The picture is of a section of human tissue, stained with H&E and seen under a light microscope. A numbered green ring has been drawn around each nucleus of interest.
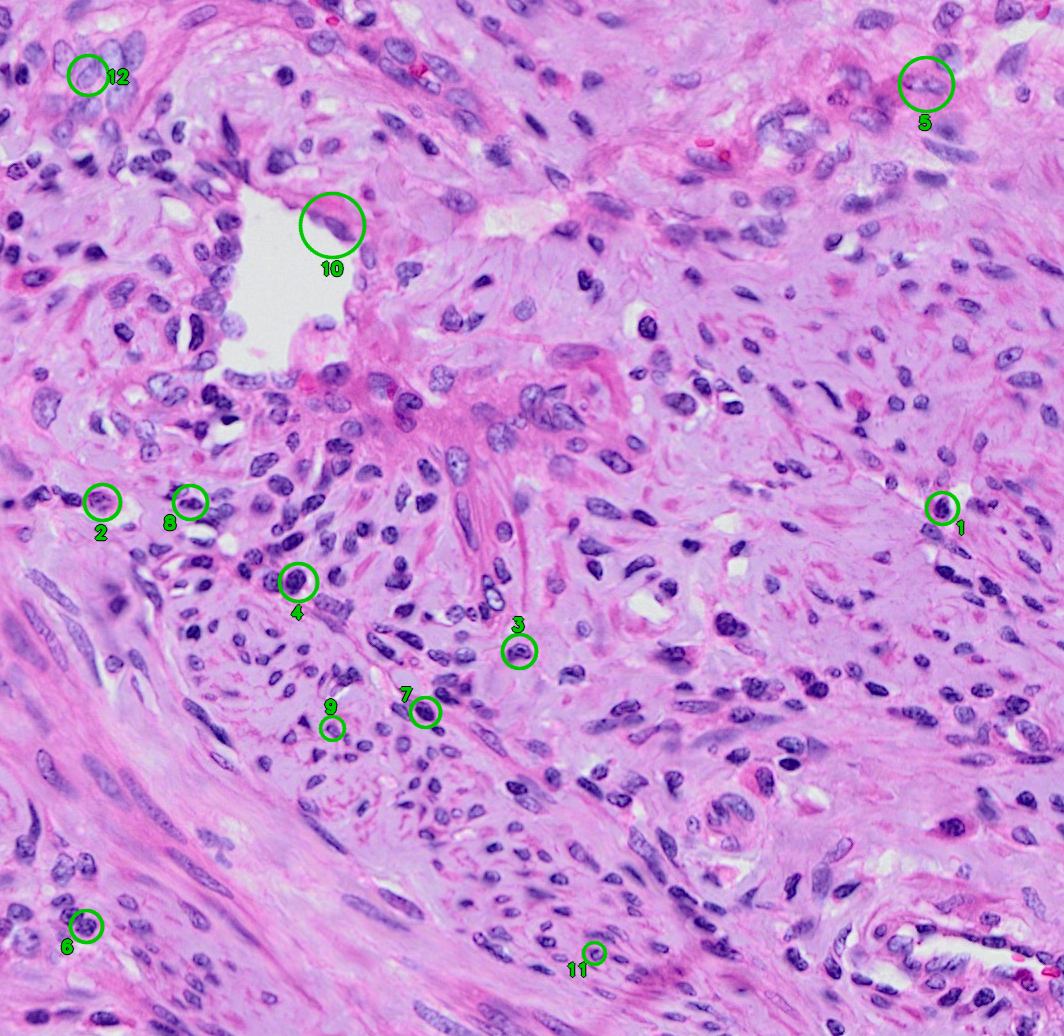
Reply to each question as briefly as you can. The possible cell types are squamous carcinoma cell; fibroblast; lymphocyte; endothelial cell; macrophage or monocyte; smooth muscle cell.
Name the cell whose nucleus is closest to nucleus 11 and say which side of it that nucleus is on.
a smooth muscle cell, above nucleus 11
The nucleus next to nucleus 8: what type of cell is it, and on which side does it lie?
a macrophage or monocyte above and to the left of nucleus 8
